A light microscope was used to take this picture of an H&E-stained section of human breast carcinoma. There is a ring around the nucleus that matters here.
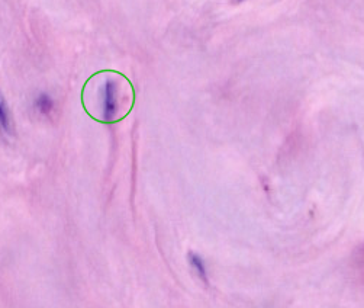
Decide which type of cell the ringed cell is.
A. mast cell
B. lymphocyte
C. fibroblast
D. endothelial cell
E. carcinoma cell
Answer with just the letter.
C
